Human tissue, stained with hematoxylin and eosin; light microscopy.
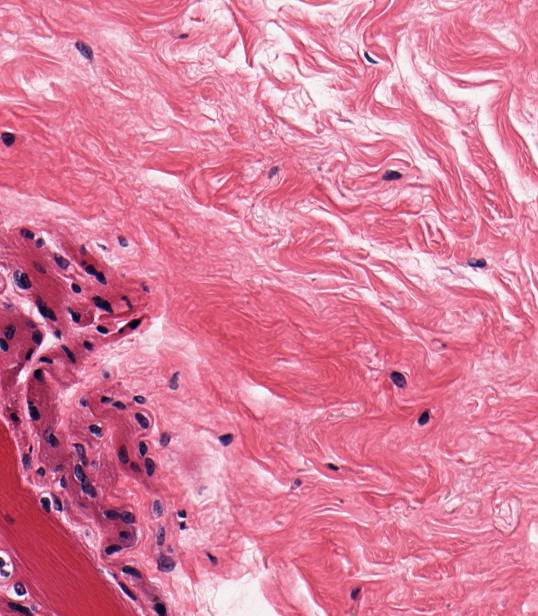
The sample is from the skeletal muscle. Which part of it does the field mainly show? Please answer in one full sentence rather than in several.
It is dense connective tissue that this tissue section depicts.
